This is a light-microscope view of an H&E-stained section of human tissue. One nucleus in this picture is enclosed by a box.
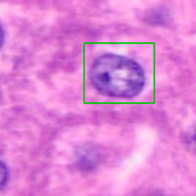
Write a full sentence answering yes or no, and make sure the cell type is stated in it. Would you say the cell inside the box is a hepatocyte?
Yes, in this section the cell inside the box is a hepatocyte.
